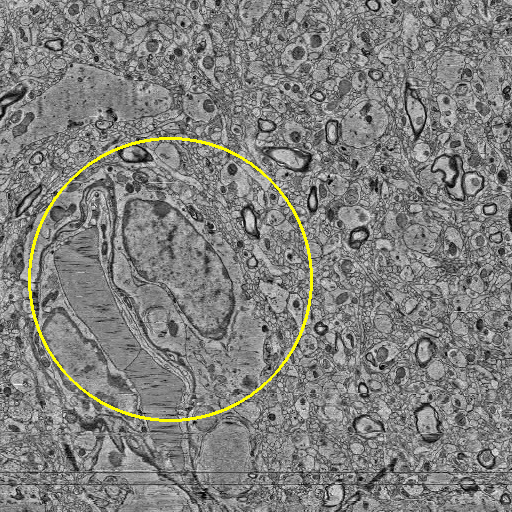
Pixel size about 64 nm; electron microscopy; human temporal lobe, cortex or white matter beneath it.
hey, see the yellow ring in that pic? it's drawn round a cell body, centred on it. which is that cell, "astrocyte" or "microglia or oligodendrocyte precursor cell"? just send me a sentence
The cell in the ring is a microglial cell or oligodendrocyte precursor cell.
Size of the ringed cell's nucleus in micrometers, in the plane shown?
The nucleus of the ringed cell is approximately 10 by 5 micrometres in this plane.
